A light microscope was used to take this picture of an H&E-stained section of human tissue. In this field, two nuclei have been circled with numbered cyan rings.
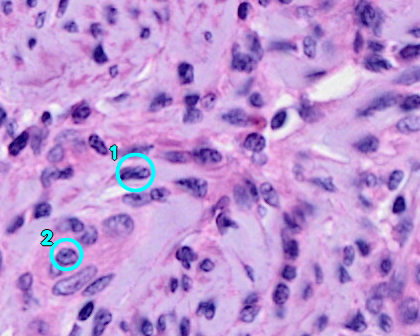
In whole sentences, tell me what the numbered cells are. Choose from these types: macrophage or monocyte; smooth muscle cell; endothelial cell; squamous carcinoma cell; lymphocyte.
Cell 1 is a lymphocyte. Cell 2 is an endothelial cell.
